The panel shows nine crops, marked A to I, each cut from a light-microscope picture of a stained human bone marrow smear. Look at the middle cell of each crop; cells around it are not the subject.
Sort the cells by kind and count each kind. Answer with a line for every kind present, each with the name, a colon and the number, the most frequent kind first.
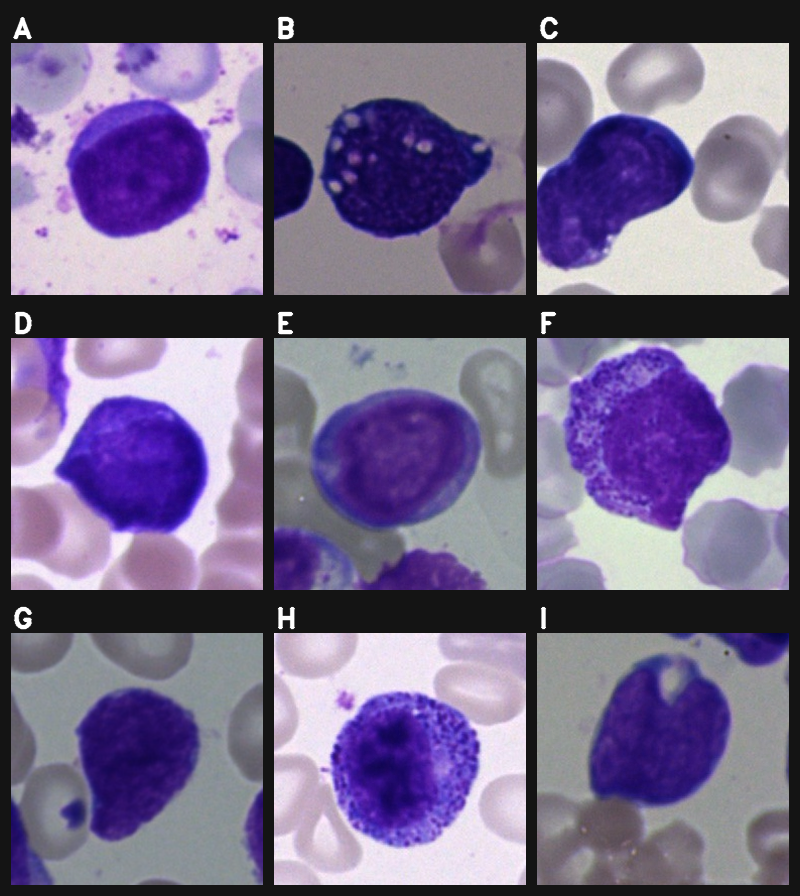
blast: 7
promyelocyte: 2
